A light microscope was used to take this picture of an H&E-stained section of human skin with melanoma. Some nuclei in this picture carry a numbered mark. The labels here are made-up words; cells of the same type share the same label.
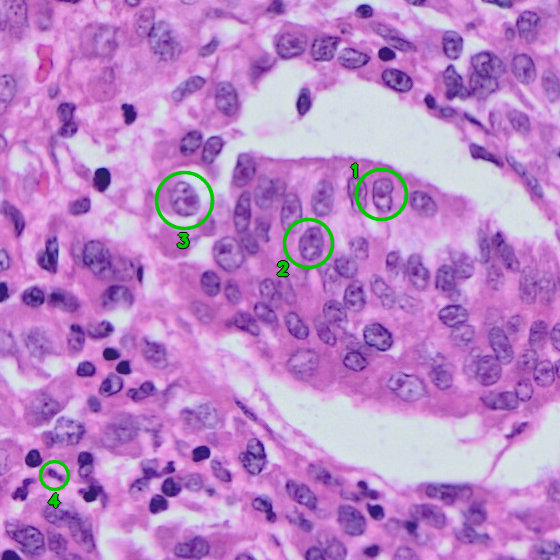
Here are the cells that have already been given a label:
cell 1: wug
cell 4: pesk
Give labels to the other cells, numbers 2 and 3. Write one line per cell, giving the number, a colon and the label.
2: wug
3: wug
